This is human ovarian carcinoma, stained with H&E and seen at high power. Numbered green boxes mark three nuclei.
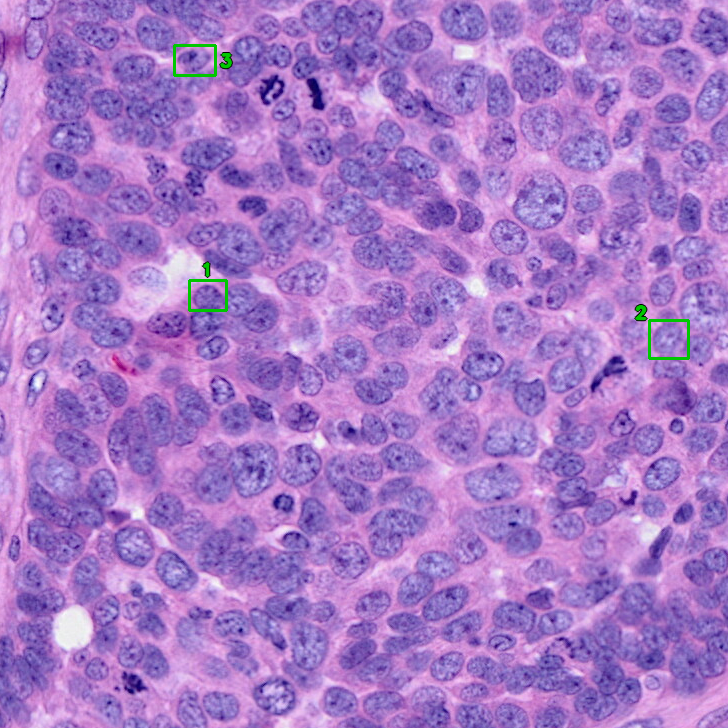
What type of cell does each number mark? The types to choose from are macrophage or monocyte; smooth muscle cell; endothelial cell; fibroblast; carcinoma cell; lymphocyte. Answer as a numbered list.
1. carcinoma cell
2. carcinoma cell
3. macrophage or monocyte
